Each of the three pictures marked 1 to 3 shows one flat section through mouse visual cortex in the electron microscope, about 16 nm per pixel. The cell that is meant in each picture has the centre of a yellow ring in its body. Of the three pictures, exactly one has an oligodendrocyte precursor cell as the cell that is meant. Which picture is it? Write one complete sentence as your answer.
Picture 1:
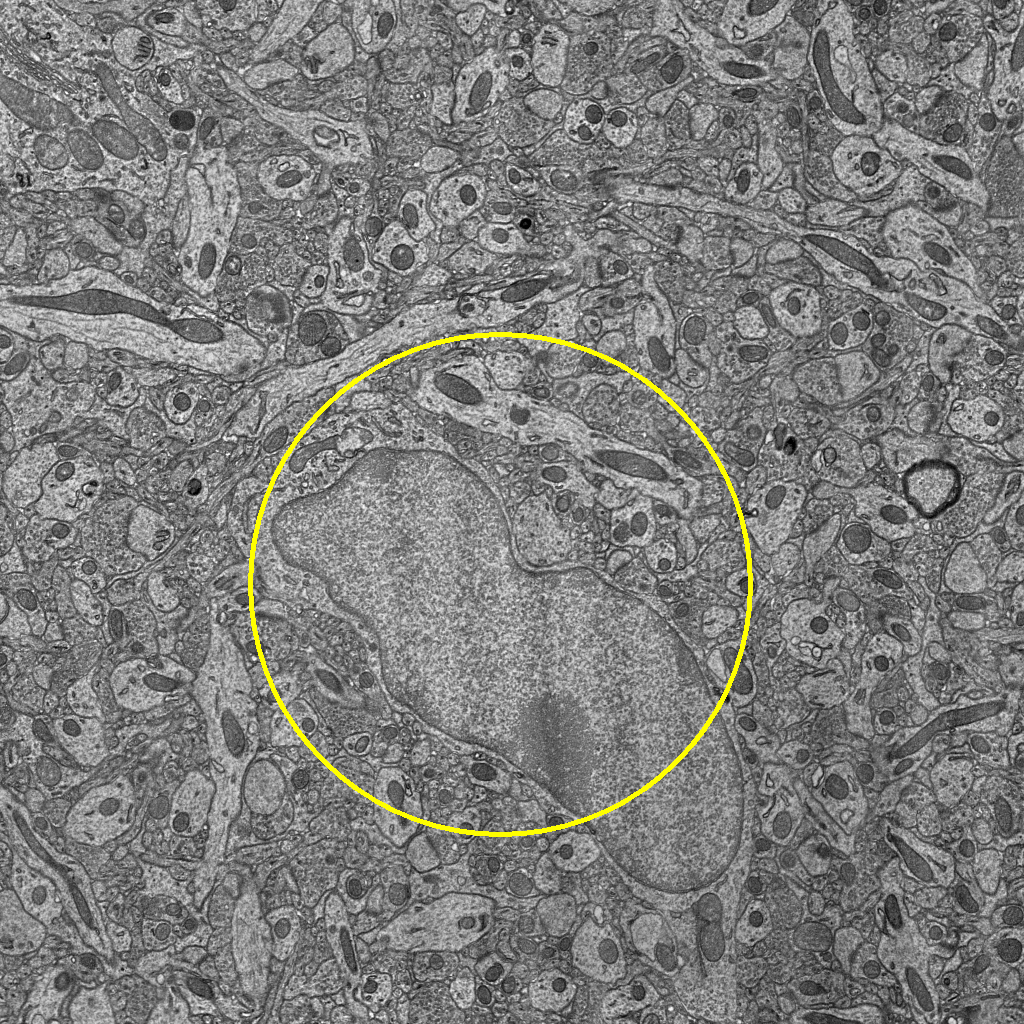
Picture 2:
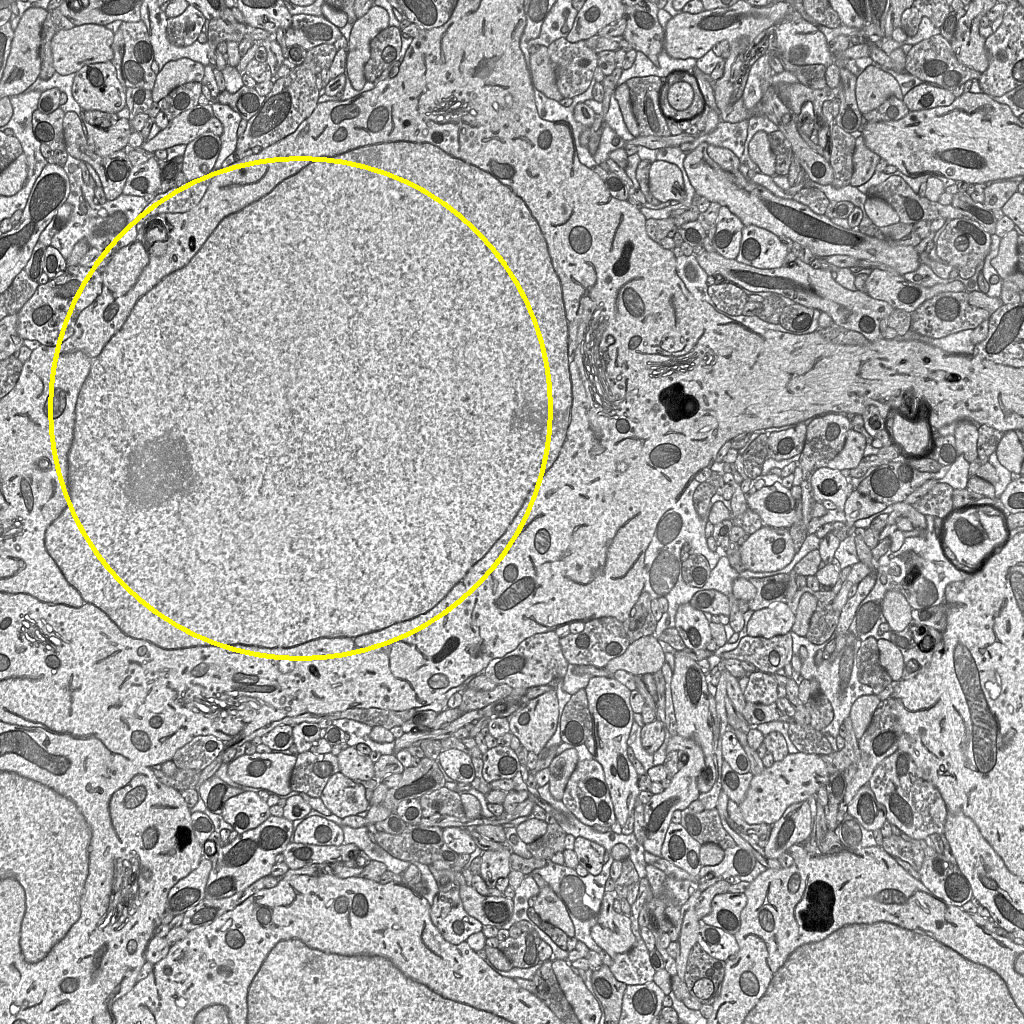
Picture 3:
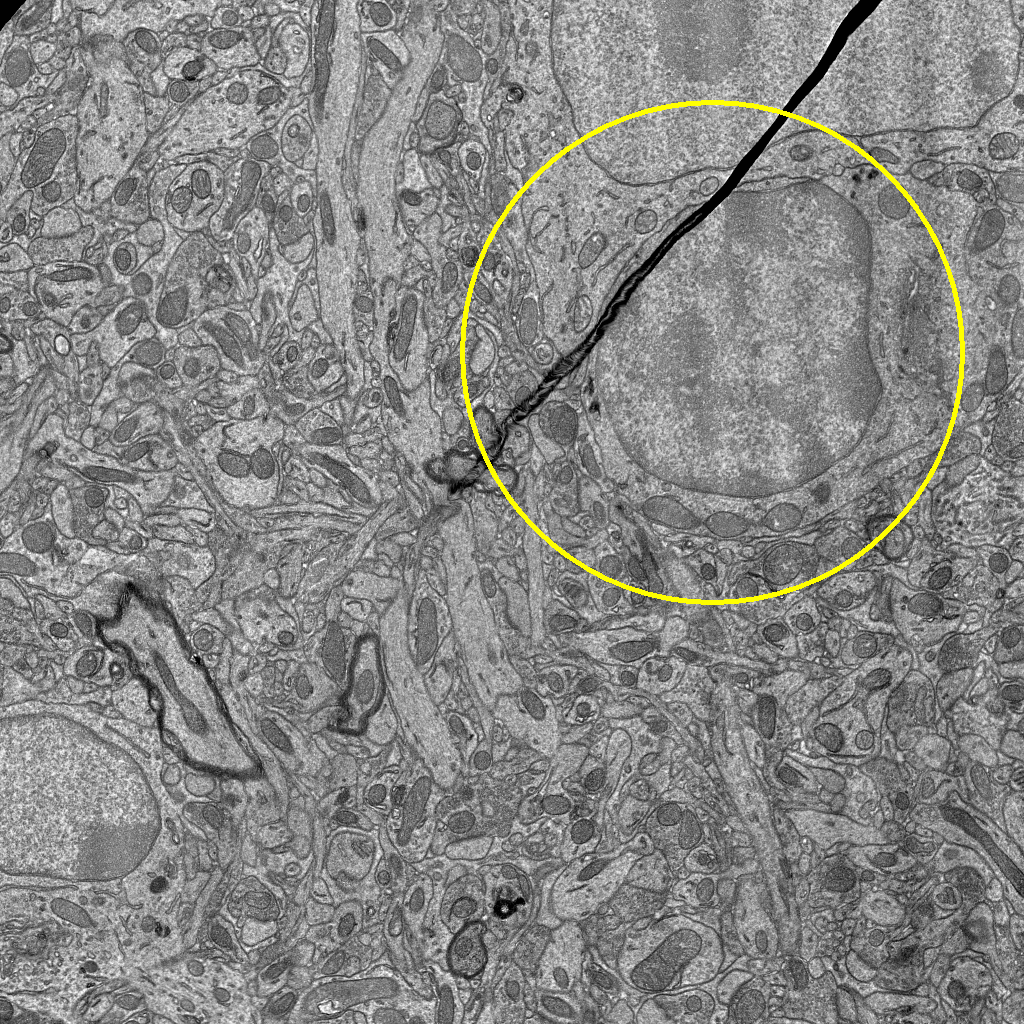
Picture 1 is the one that shows the oligodendrocyte precursor cell.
